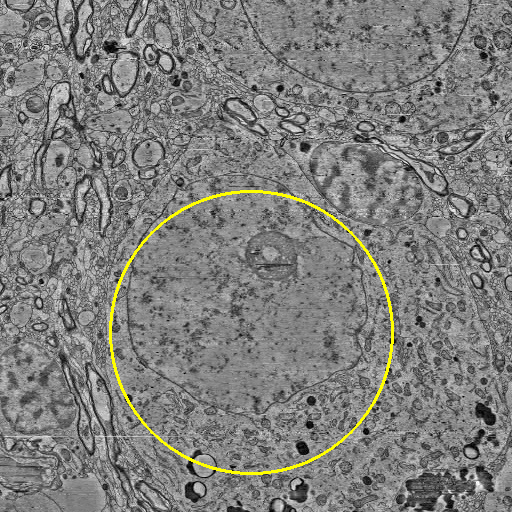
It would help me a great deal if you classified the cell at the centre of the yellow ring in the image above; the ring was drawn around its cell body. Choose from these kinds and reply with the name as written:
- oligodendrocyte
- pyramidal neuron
pyramidal neuron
